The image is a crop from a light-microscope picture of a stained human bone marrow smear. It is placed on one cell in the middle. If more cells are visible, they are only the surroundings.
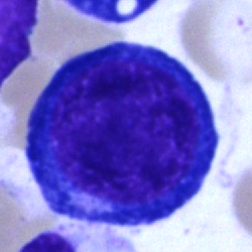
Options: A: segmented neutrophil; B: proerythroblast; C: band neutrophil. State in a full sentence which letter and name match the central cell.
In the middle of the crop is a proerythroblast; option B is therefore correct.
